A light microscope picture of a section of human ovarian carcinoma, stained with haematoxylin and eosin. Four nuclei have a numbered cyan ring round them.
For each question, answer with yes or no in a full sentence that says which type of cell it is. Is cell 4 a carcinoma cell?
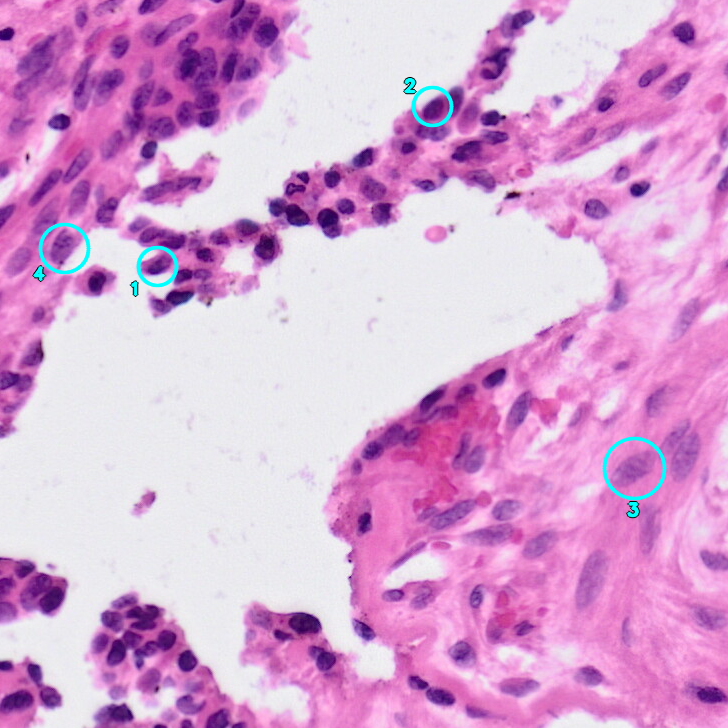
No, it is a macrophage or monocyte that is marked with number 4, not a carcinoma cell.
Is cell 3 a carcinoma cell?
No, it is a fibroblast, rather than a carcinoma cell, that carries number 3.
